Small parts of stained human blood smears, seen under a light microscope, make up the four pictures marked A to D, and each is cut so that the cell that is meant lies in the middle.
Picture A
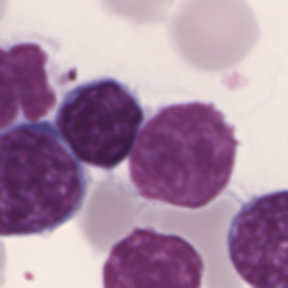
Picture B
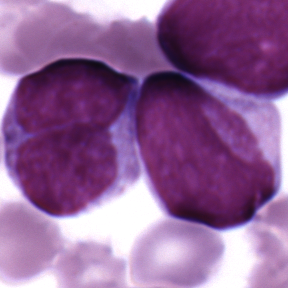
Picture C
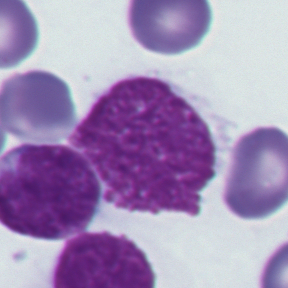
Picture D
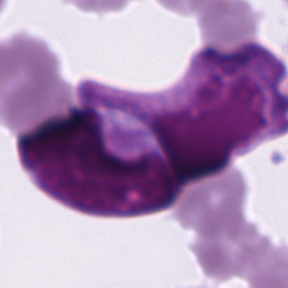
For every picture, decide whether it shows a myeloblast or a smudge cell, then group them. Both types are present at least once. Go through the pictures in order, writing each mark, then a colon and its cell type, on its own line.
A: myeloblast
B: myeloblast
C: smudge cell
D: myeloblast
